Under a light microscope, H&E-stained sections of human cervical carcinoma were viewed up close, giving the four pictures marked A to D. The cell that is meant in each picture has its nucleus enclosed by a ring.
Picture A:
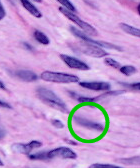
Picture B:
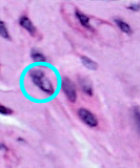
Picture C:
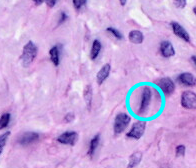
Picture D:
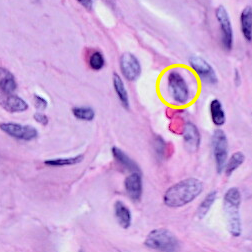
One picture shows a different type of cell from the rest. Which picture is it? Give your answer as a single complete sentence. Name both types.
Unlike the rest, which show fibroblasts, picture D shows an endothelial cell.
